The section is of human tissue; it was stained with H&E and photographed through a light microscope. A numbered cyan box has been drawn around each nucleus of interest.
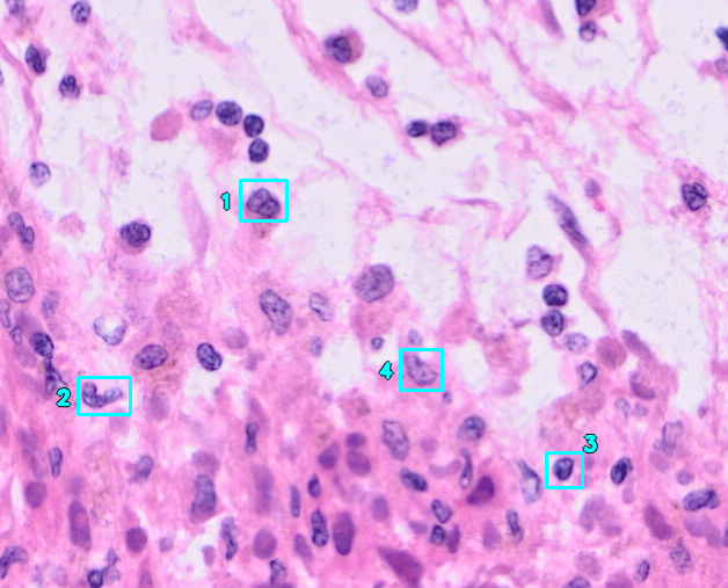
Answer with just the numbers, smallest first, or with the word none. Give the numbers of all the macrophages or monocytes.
1, 2, 4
